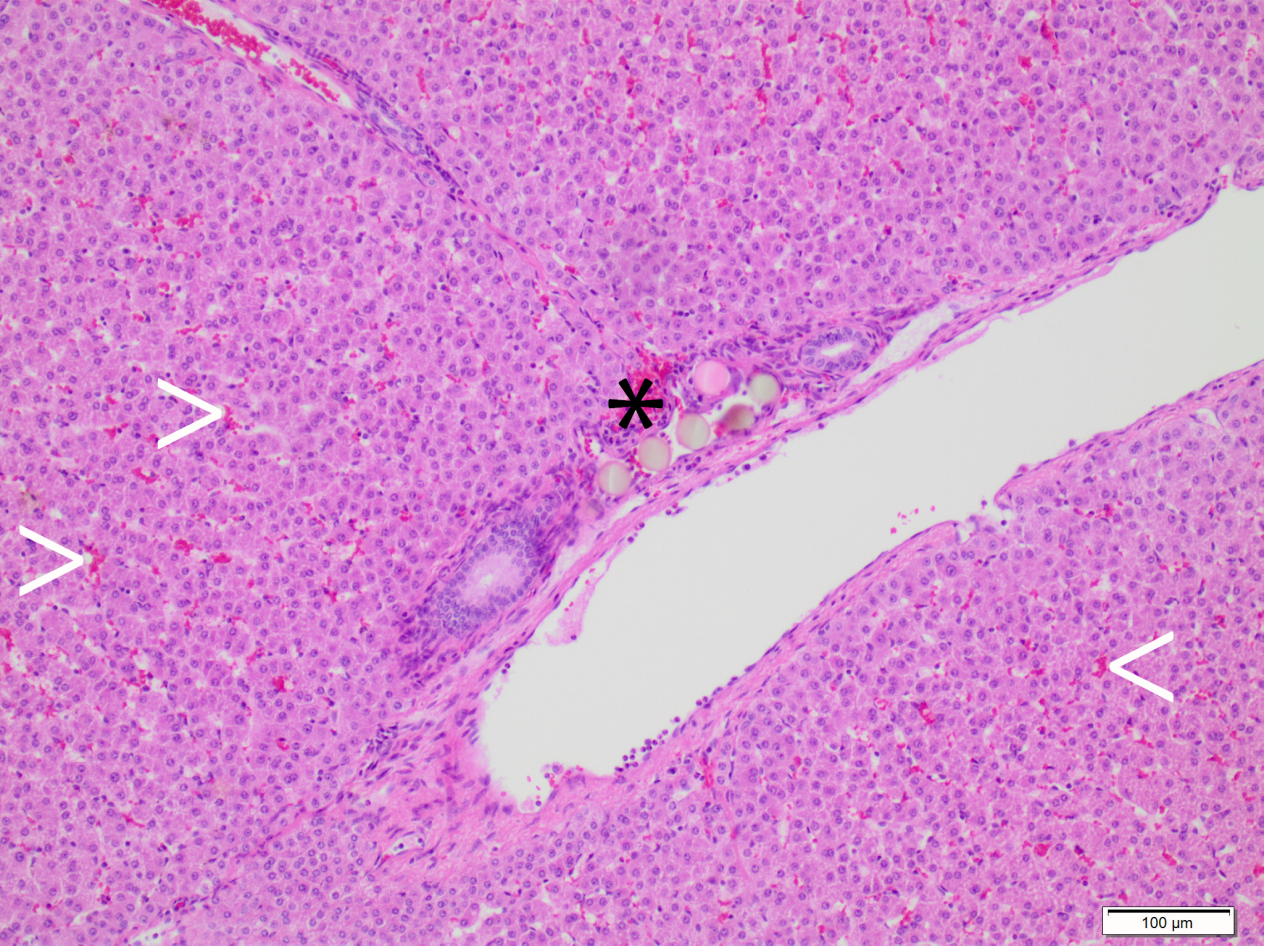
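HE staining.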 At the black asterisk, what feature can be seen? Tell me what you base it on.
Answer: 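A cluster of round, smooth, glassy pale spheres lies next to the black asterisk. The spheres are much larger than the surrounding nuclei and have no nucleus or internal cell structure. They sit within the connective tissue band beside a large open vessel.
Microspheres.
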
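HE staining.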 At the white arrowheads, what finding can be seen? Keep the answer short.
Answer: Blood retention within the sinusoids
